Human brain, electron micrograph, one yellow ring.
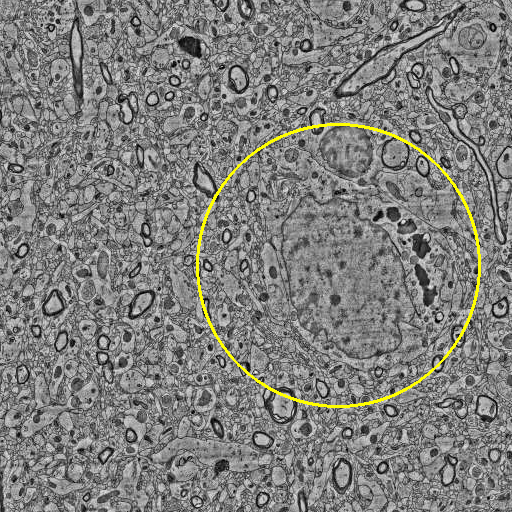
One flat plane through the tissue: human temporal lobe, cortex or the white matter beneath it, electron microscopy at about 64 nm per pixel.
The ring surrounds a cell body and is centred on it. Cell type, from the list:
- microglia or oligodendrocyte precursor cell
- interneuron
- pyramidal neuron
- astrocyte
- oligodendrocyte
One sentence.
The yellow ring circles an interneuron.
